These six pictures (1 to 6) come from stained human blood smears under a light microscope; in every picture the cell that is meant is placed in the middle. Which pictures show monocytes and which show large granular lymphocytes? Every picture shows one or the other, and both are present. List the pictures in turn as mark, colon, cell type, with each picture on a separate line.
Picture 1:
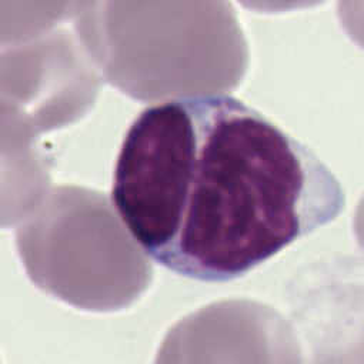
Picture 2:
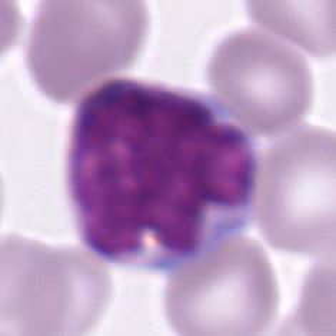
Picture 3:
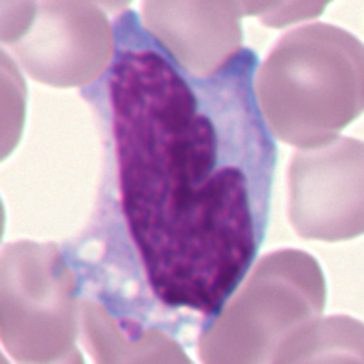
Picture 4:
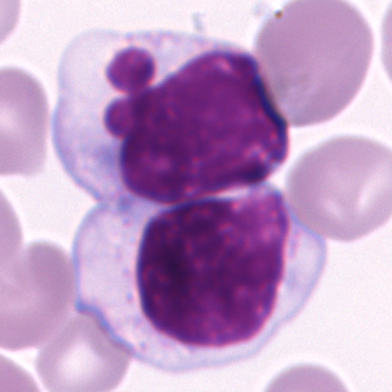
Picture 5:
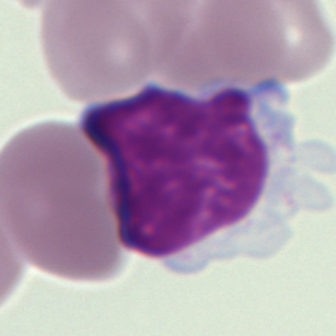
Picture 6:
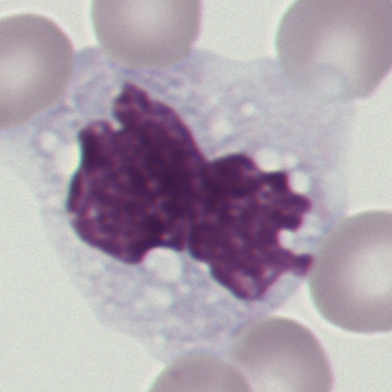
1: large granular lymphocyte
2: large granular lymphocyte
3: monocyte
4: large granular lymphocyte
5: large granular lymphocyte
6: monocyte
